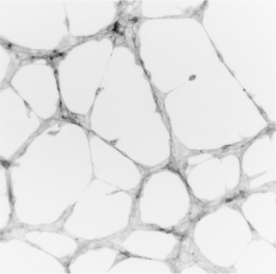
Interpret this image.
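Endothelial cells have organised into a continuous network of cords or tubes that enclose clear, rounded to polygonal spaces of different sizes. The cords are thin where they run between spaces and thicken at the junctions where several meet, giving a mesh like a honeycomb. Individual cells within the cords are elongated and stretched along their length, with darker cell bodies clustered at the junctions. Few isolated cells lie outside the network, which covers the whole field.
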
